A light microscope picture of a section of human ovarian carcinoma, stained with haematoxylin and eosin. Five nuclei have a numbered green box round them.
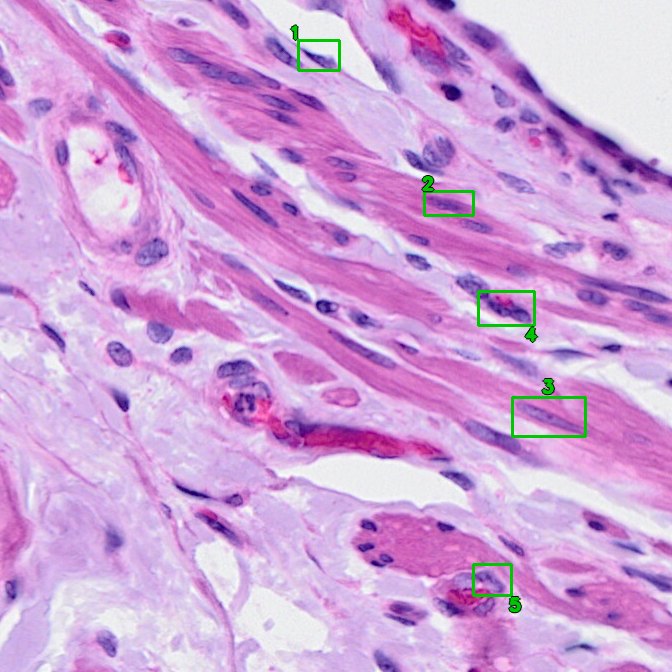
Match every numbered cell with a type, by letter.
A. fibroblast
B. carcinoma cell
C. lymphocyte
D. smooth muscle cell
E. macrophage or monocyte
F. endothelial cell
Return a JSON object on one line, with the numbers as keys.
{"1": "F", "2": "D", "3": "D", "4": "F", "5": "F"}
